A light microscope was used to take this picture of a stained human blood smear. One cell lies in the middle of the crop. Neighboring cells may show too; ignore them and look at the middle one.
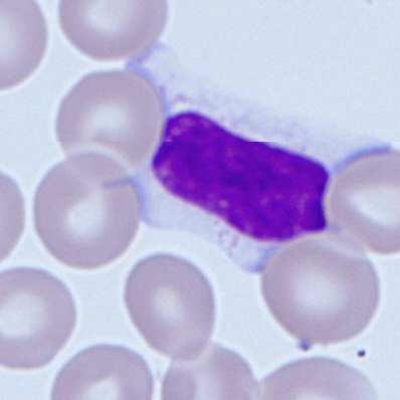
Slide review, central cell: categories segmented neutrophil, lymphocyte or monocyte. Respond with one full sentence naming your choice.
The centrally located cell in the crop is a lymphocyte.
